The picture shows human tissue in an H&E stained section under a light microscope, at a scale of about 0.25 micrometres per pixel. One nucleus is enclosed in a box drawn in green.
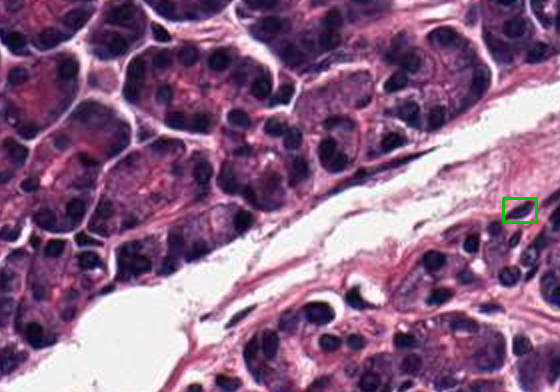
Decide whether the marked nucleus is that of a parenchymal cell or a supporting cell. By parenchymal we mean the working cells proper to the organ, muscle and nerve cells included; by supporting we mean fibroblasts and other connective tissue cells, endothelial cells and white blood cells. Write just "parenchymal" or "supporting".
supporting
